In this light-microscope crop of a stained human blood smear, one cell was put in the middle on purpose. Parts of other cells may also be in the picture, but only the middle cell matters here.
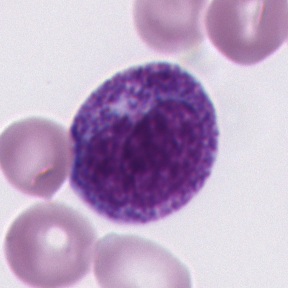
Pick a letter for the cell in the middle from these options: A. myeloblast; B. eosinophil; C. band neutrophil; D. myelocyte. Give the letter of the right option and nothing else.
D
